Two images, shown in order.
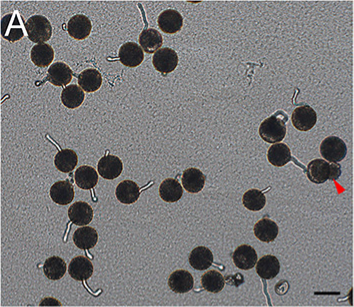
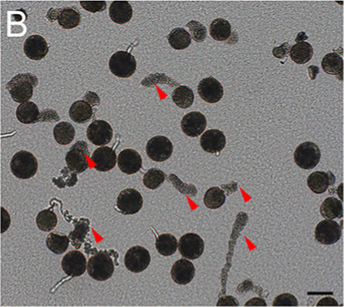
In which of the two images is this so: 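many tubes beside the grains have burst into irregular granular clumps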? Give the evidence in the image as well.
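Second image: several grains have irregular, granular, clumped masses beside them instead of smooth tubes. First image: the tubes growing from the grains are mostly slender, smooth and clear.
Hence: the second image.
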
